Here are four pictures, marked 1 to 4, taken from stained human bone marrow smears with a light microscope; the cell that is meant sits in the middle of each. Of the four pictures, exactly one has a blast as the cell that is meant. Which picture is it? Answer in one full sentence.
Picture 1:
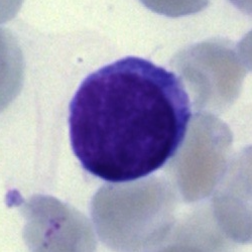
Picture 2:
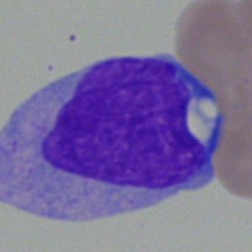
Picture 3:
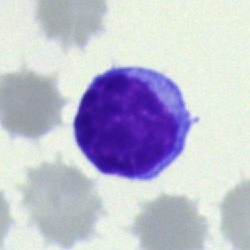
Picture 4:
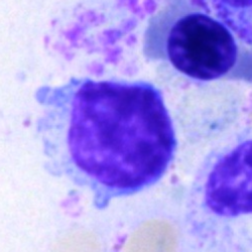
The cell in picture 2 is the blast.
